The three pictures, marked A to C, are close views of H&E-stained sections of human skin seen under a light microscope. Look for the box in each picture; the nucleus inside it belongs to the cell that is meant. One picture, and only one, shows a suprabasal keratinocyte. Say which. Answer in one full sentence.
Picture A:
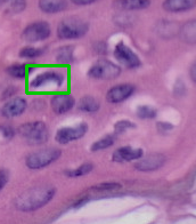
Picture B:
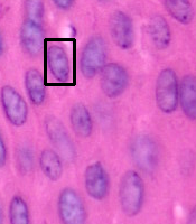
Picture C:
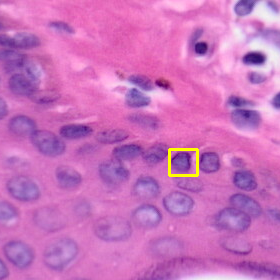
Picture B is the one that shows the suprabasal keratinocyte.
